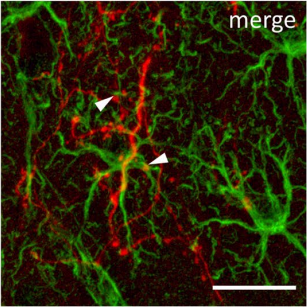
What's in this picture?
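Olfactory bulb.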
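Astrocytes in green lie among red beaded neuronal fibres. Each astrocyte has a small central body from which many fine, branched processes radiate in a star-like pattern. Red fibres are thin and carry round varicosities, some of which lie close to or over the green astrocytic processes.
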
